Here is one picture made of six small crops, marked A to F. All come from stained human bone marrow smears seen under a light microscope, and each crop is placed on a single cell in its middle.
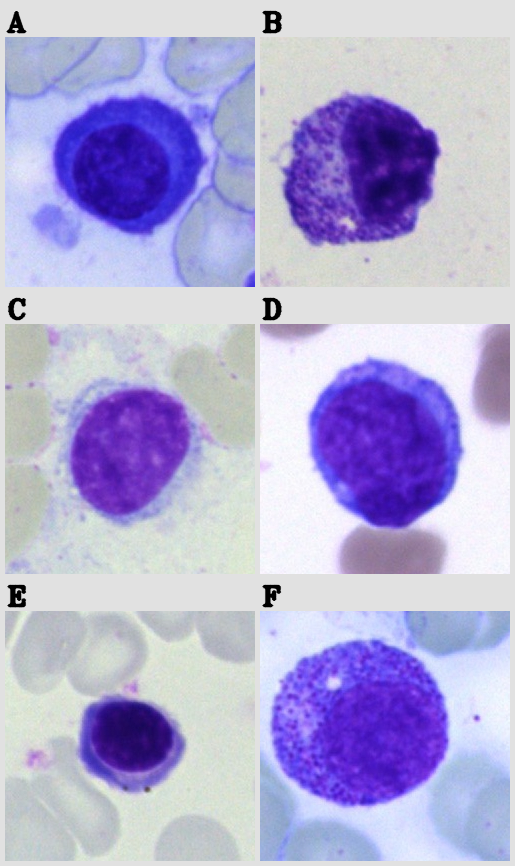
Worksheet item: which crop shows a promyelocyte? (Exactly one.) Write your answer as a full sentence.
Look at crop F; that is the one with a promyelocyte in its center.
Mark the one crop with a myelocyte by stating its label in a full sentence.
As for which crop shows a myelocyte, it is crop B.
